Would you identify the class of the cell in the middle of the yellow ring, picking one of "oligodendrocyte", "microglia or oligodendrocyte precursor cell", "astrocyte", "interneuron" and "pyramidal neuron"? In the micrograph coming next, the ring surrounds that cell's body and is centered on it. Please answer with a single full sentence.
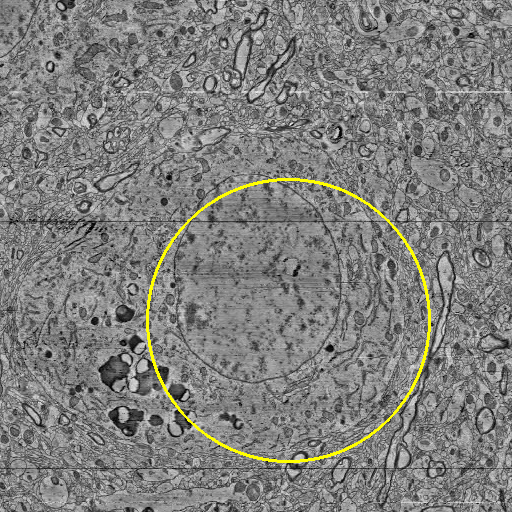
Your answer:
In the micrograph, it is a pyramidal neuron whose body lies at the ring's center.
